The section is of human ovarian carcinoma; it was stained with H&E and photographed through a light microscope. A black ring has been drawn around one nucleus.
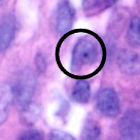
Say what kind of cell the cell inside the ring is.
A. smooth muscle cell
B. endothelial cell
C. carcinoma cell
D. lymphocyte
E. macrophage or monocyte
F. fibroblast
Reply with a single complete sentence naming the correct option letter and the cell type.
That the cell inside the ring is a macrophage or monocyte makes option E the correct choice.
